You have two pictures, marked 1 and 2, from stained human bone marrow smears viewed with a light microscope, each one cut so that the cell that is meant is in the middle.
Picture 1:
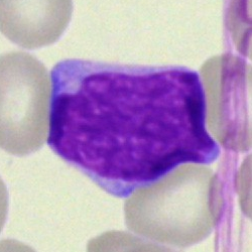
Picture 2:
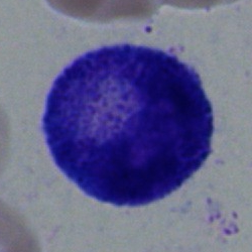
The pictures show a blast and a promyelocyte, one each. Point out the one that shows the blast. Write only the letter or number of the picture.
1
